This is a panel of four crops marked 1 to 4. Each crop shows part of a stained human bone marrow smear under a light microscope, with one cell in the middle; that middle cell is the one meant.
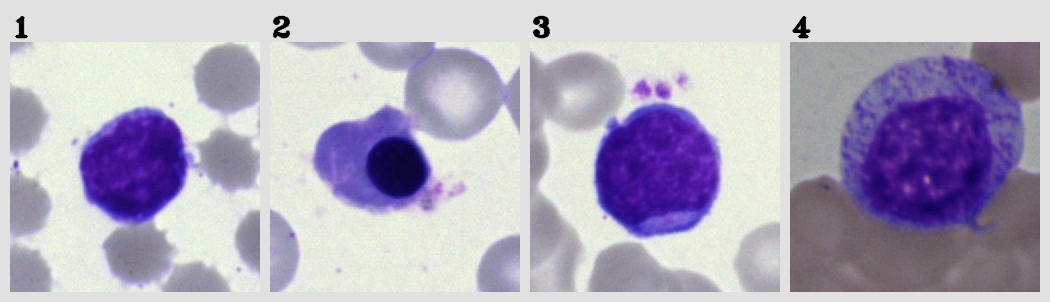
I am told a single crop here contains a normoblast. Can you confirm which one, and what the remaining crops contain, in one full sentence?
It is crop 2 that shows a normoblast, while crop 1 is a lymphocyte, crop 3 is a blast and crop 4 is a myelocyte.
